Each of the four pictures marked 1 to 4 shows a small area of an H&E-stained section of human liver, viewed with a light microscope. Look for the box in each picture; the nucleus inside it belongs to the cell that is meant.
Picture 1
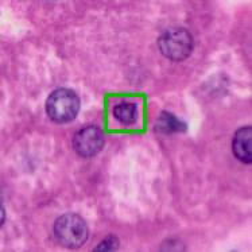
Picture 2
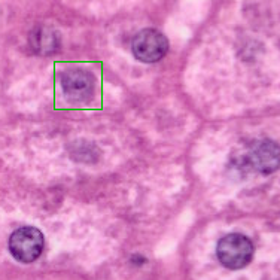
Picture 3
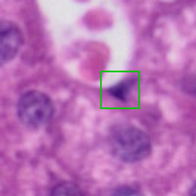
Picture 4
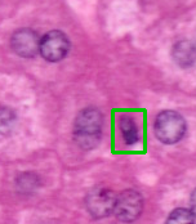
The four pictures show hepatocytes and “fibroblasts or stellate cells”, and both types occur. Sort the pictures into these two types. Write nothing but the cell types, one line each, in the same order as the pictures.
fibroblast or stellate cell
hepatocyte
fibroblast or stellate cell
fibroblast or stellate cell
